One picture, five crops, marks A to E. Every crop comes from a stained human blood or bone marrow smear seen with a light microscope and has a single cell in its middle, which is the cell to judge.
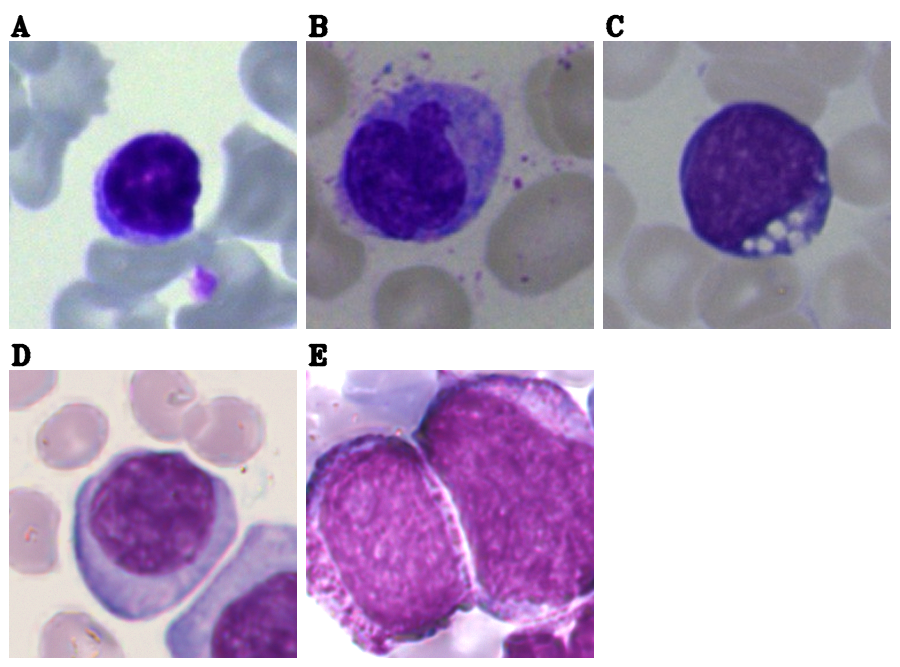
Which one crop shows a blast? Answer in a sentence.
Of the labelled crops, the one that shows a blast is crop C.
